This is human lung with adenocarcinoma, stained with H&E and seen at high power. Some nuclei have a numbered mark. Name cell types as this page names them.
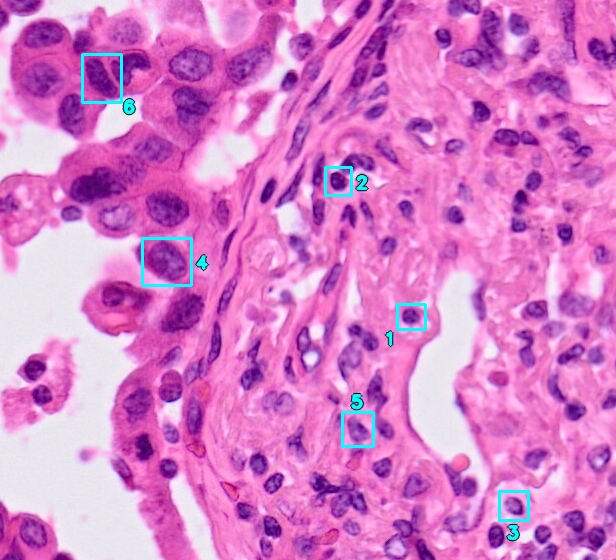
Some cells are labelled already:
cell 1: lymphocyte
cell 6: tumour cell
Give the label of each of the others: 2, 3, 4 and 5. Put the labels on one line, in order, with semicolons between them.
lymphocyte; lymphocyte; tumour cell; lymphocyte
